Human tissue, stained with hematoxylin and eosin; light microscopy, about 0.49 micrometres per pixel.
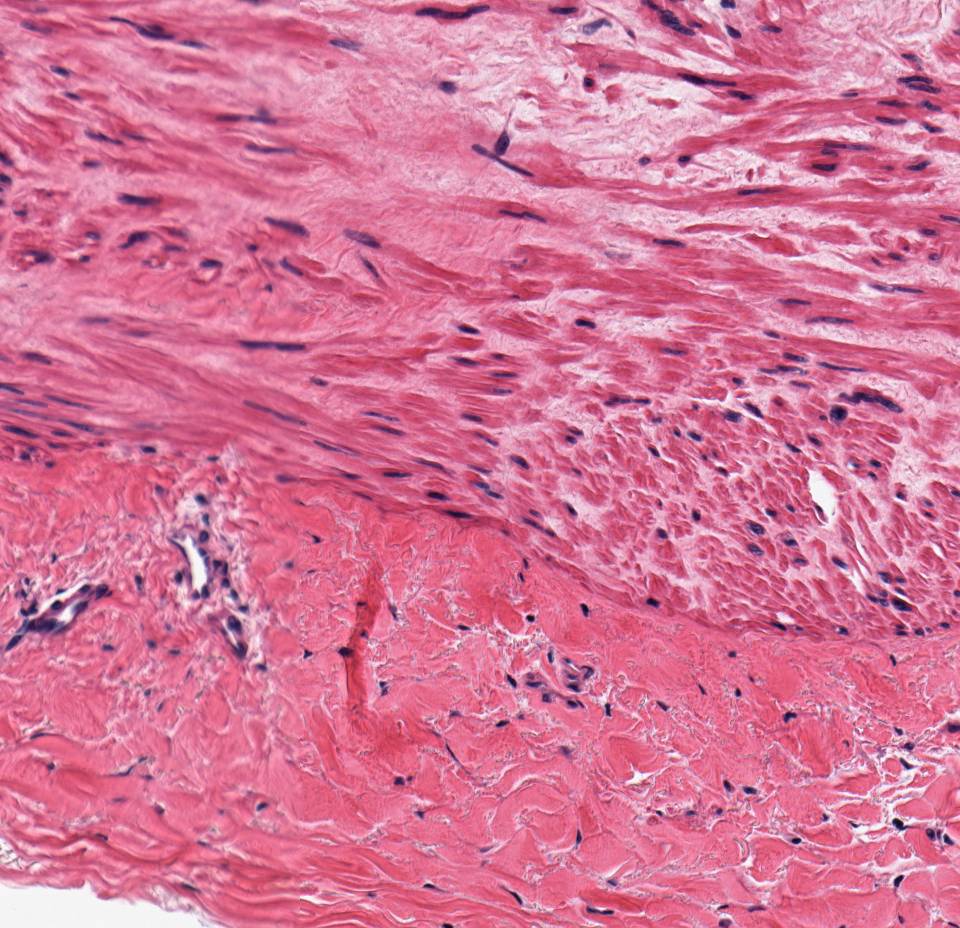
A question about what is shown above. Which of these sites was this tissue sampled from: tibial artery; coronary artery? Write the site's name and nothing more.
tibial artery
